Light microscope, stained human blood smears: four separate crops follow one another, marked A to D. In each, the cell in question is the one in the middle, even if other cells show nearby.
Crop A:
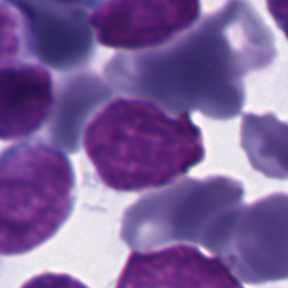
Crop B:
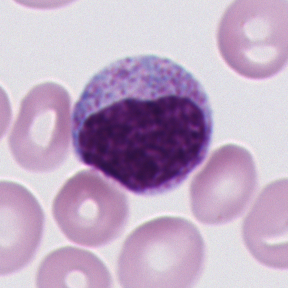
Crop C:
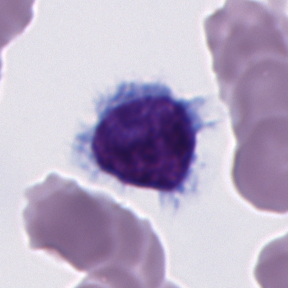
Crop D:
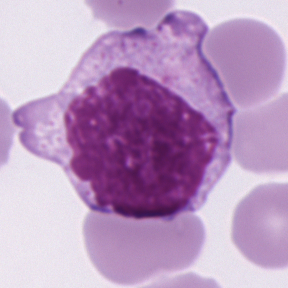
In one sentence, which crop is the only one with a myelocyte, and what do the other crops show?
Concerning crop D, the cell shown is a myelocyte, whereas crop A is a smudge cell, crop B is a metamyelocyte and crop C is a hairy cell.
